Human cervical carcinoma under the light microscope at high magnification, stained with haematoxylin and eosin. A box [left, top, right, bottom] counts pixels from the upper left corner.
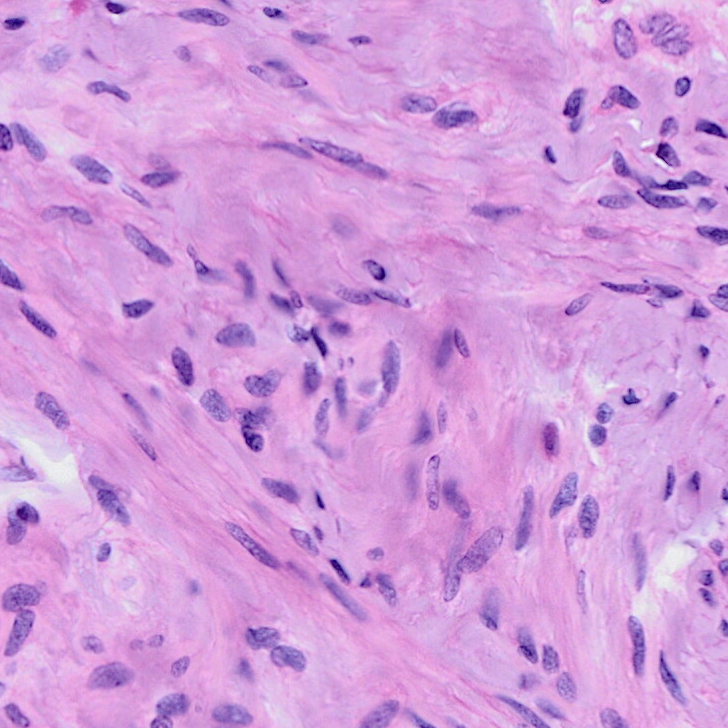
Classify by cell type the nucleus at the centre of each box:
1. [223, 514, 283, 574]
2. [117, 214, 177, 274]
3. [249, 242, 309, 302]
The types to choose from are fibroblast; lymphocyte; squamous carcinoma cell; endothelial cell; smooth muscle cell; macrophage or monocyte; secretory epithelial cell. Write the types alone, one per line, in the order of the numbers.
smooth muscle cell
smooth muscle cell
fibroblast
